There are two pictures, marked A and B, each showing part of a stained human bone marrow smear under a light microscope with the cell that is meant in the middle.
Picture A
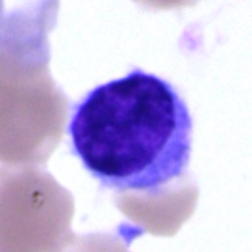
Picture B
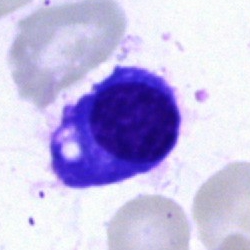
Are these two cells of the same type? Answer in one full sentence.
No, picture A shows a hairy cell and picture B shows a plasma cell.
